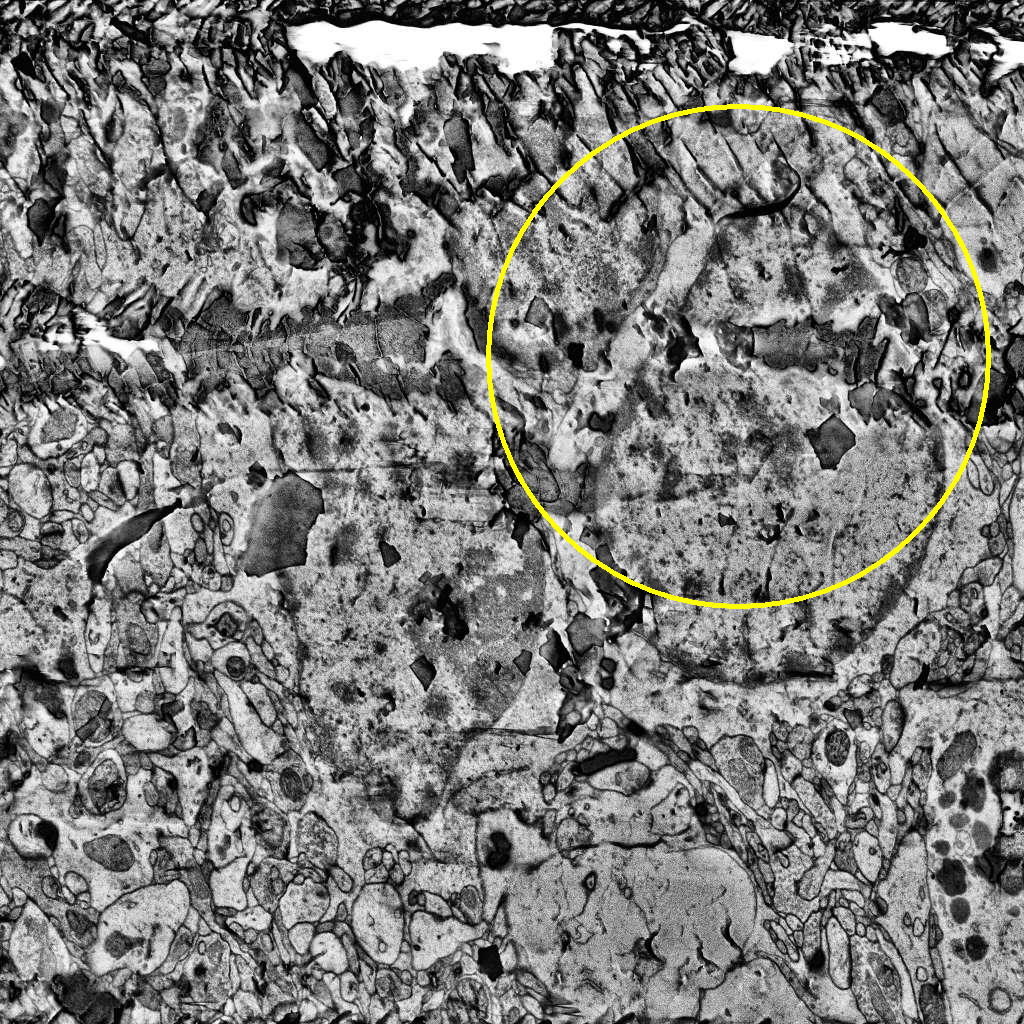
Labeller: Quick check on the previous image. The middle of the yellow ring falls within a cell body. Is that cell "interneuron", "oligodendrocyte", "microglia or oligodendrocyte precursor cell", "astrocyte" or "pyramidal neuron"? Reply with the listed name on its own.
astrocyte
